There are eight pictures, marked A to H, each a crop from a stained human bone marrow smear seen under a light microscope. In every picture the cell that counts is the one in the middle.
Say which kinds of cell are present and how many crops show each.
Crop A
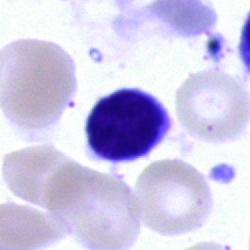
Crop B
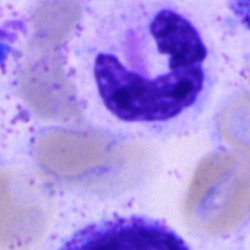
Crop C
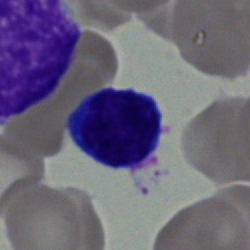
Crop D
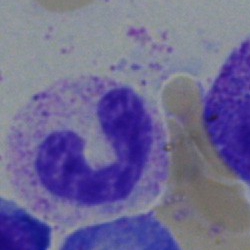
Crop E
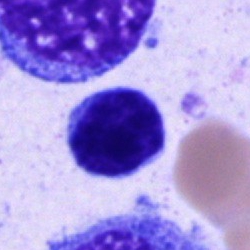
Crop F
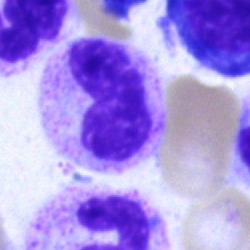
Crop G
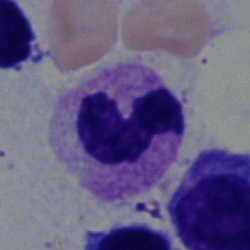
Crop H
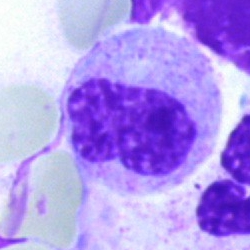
band neutrophil: 5
lymphocyte: 3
